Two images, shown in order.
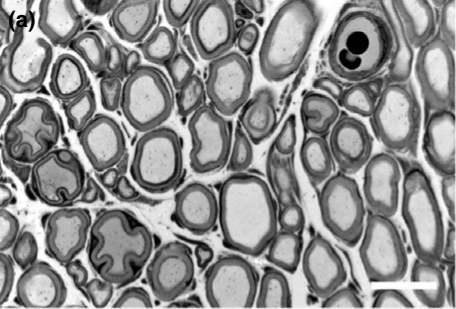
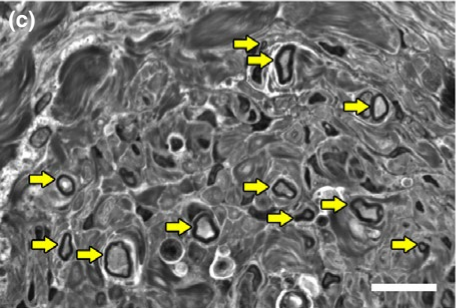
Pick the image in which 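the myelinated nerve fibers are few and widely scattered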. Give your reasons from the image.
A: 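The second image. Second image: a few small dark-ringed fiber profiles are scattered in dense grey tissue. First image: large dark-ringed fiber profiles are packed closely and fill the field.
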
